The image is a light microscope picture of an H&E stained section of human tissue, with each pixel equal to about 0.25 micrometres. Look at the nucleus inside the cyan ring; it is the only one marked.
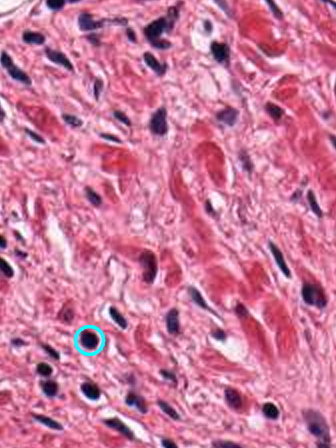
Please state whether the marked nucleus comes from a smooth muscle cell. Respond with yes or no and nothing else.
no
